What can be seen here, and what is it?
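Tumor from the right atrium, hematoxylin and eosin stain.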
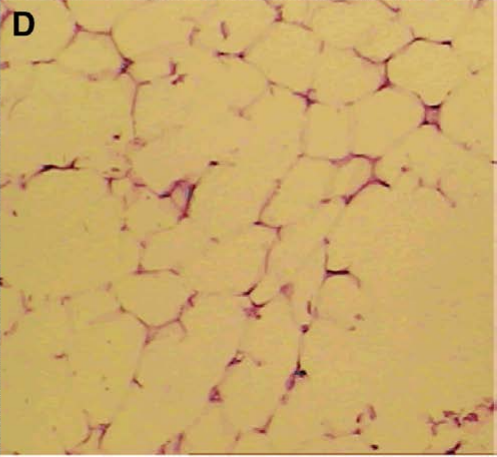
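This field is packed with mature fat cells, adipocytes, lying closely side by side. Only thin pink-purple rims of cytoplasm and membrane outline the cells, making a delicate meshwork.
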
